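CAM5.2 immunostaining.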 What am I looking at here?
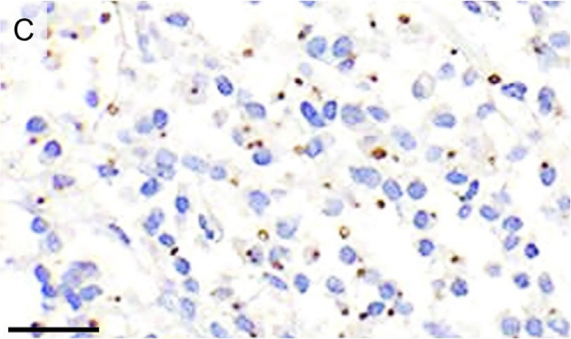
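These are tumor cells with blue round to oval nuclei and pale, barely stained cytoplasm. What stands out are small, round brown dots, one beside each of many nuclei, lying in the cytoplasm rather than over the nucleus.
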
